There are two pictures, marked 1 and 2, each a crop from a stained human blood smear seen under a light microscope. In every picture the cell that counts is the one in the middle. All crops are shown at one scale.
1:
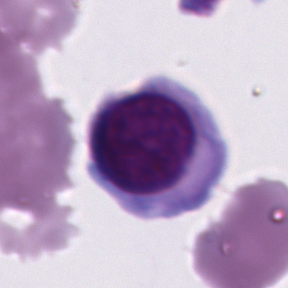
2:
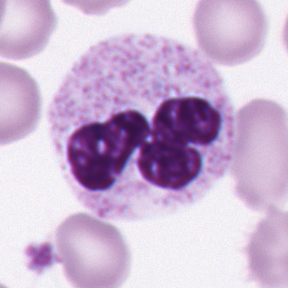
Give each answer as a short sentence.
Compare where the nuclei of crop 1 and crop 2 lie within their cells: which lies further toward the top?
In crop 1 the nucleus is shifted more toward the top.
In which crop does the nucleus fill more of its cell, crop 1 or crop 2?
Of the two, the nucleus in crop 1 makes up the greater part of its cell.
